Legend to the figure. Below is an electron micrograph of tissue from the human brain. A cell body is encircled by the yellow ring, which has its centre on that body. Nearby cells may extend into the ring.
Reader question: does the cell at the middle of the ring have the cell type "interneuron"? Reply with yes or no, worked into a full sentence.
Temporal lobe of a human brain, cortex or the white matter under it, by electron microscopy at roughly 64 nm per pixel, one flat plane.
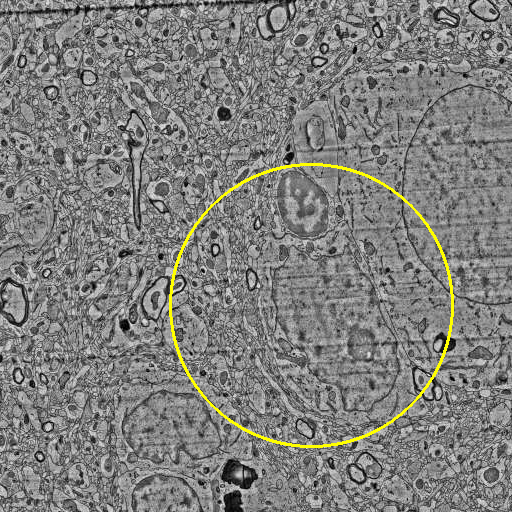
Yes, the cell sitting at the middle of the ring in the picture has that cell type.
